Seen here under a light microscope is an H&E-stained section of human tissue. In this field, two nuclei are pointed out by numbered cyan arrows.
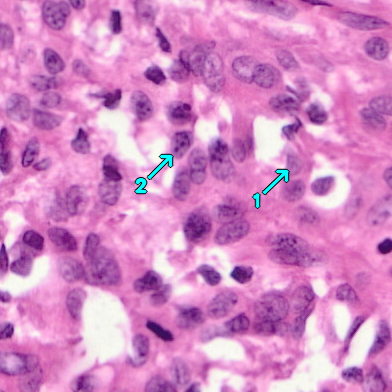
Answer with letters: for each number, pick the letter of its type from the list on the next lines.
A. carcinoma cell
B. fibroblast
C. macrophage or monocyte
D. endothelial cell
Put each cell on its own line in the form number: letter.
1: A
2: C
